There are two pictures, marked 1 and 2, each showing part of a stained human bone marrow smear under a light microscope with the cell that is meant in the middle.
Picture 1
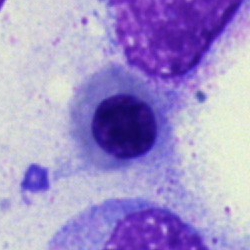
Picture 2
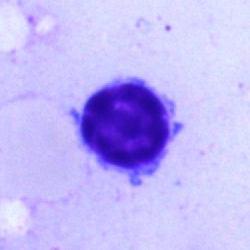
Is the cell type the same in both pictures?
no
